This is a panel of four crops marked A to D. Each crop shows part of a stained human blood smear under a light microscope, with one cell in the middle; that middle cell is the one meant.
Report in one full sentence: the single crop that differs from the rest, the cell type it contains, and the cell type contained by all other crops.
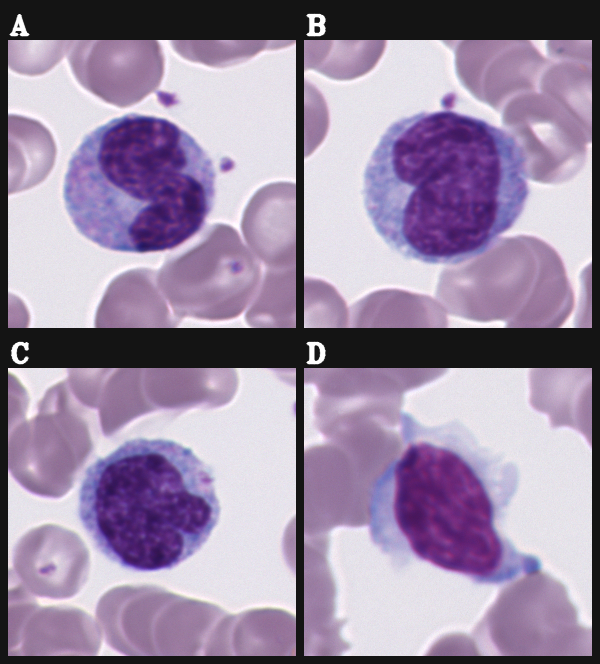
In this set the other crops all show monocytes, and crop D shows a hairy cell.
